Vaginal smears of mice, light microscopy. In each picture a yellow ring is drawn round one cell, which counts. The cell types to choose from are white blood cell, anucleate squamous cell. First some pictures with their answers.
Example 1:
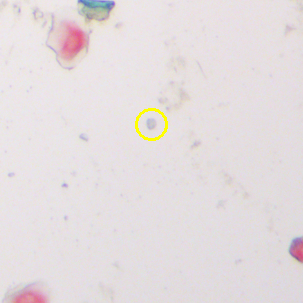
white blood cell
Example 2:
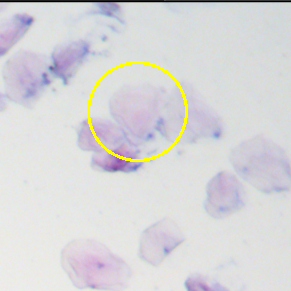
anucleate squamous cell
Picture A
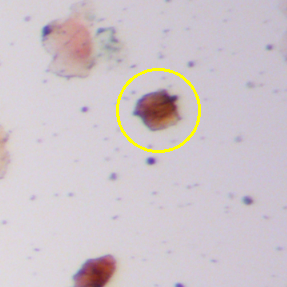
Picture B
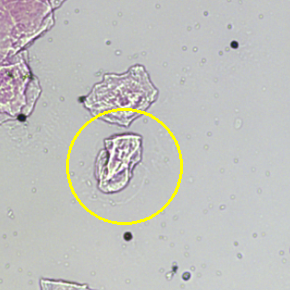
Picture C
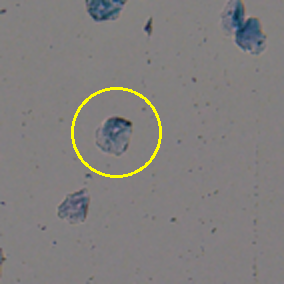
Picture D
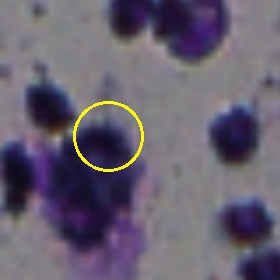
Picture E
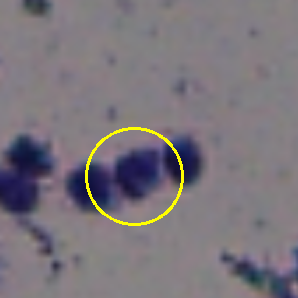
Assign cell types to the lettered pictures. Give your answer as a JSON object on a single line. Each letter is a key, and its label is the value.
{"A": "anucleate squamous cell", "B": "anucleate squamous cell", "C": "anucleate squamous cell", "D": "white blood cell", "E": "white blood cell"}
